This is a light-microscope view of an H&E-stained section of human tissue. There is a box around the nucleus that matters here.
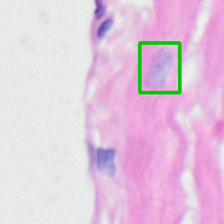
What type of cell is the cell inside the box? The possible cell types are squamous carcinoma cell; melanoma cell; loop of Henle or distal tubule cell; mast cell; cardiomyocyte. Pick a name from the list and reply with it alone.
cardiomyocyte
